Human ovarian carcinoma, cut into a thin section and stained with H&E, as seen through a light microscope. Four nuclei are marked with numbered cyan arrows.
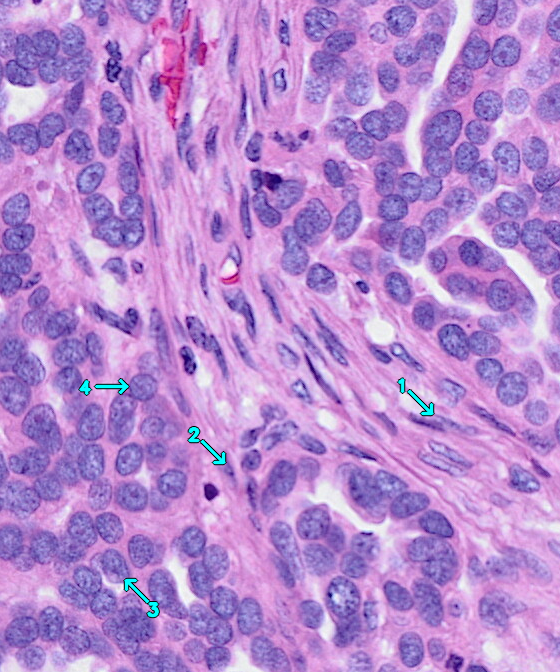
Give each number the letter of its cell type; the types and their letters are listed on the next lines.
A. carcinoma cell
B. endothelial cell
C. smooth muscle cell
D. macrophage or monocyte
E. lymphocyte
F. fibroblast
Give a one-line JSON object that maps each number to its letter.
{"1": "F", "2": "F", "3": "A", "4": "A"}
